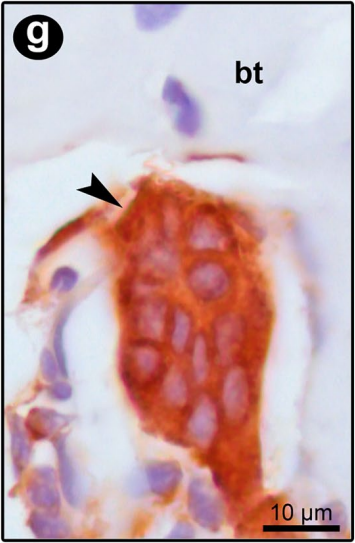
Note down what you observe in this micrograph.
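A very large osteoclast with brown-red stained cytoplasm lies beside the pale bone tissue. It contains a great many oval, pale blue nuclei packed together, far more than usual, and the cell is bulky and rounded. Smaller blue-stained nuclei of neighbouring cells lie around it.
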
